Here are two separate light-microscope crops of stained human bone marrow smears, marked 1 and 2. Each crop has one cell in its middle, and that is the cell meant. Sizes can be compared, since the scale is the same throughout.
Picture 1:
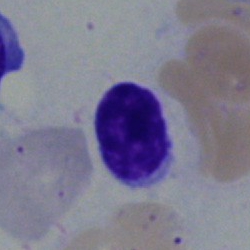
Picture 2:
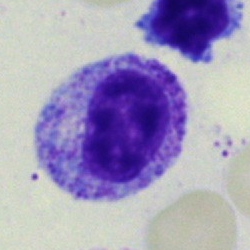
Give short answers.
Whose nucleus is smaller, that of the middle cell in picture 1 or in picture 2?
1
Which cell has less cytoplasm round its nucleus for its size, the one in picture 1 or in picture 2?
1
